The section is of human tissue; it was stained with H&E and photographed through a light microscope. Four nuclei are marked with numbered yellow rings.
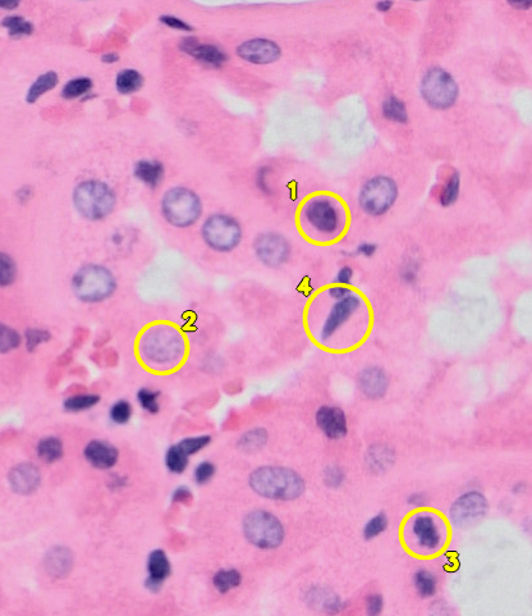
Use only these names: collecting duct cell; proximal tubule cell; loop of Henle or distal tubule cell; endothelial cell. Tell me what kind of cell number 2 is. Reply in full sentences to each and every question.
Cell number 2 in this section is a proximal tubule cell.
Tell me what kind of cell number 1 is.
Cell 1 should be recorded as a proximal tubule cell.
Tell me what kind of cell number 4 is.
The cell whose nucleus carries the number 4 is an endothelial cell.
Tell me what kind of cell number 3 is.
Cell 3 in the field is a loop of Henle or distal tubule cell.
